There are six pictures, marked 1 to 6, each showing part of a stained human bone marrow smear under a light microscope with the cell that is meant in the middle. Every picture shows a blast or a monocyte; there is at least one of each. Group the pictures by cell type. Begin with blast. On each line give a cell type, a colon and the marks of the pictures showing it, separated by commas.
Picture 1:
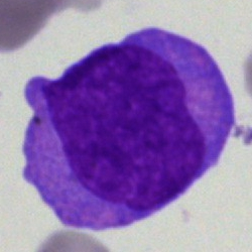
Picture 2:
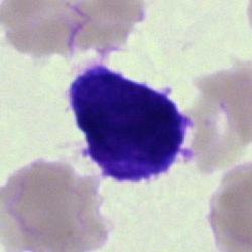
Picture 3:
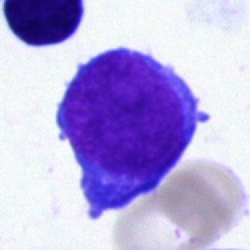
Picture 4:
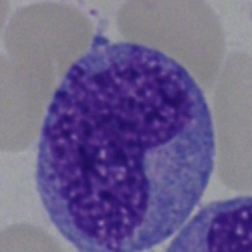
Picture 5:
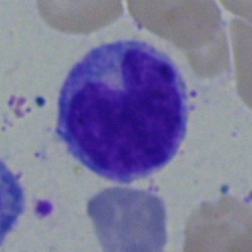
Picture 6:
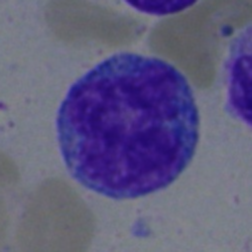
blast: 1, 2, 3
monocyte: 4, 5, 6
